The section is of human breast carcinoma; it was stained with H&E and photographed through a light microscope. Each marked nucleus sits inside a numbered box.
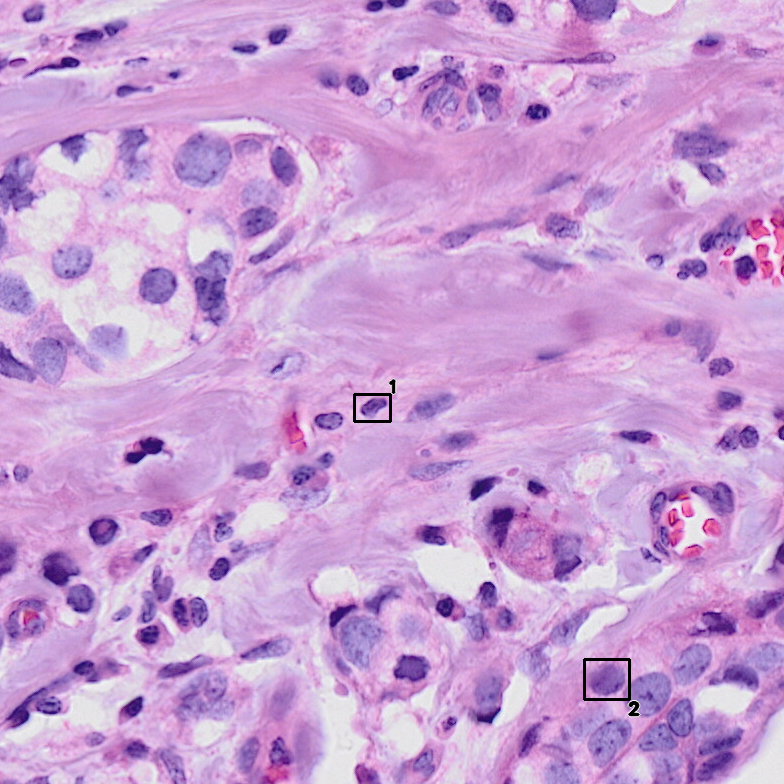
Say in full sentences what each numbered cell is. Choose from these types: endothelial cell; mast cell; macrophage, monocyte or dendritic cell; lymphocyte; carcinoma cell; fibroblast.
Cell 1 is a lymphocyte and cell 2 is a carcinoma cell.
